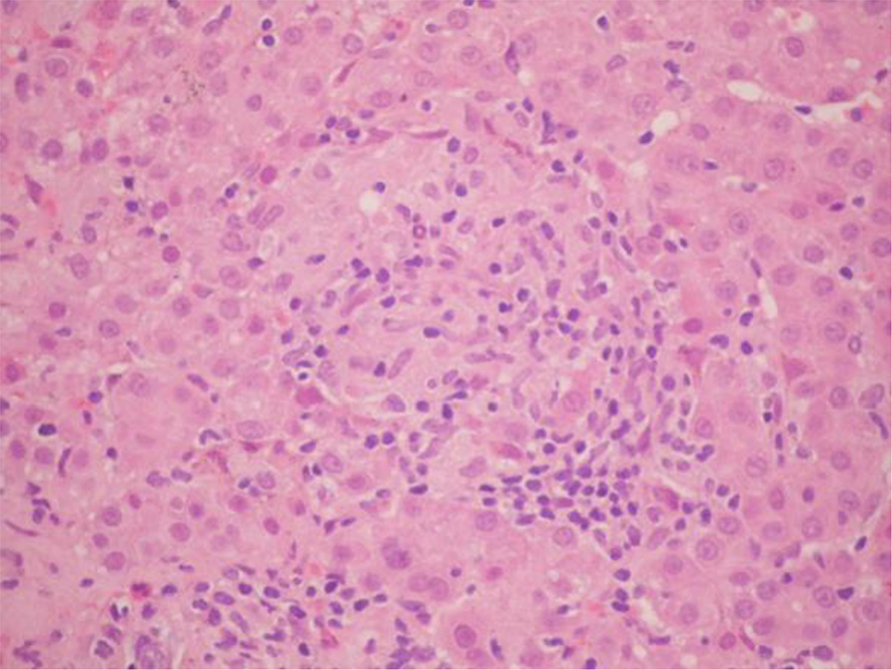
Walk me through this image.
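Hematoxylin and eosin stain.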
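This is liver tissue, with large polygonal hepatocytes that have abundant pink cytoplasm and round central nuclei with nucleoli, arranged in plates separated by narrow sinusoidal spaces. In the middle of the field lies a compact, non-necrotic granuloma made of epithelioid macrophages. These macrophages have elongated, pale, oval nuclei and indistinct pale pink cytoplasm, and they are packed closely together. Small lymphocytes with dense, round, dark purple nuclei are mixed among them and gather especially at the lower edge of the granuloma. Similar small inflammatory cells also extend out between the surrounding hepatocyte plates, and a smaller cluster of them appears at the bottom left.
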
